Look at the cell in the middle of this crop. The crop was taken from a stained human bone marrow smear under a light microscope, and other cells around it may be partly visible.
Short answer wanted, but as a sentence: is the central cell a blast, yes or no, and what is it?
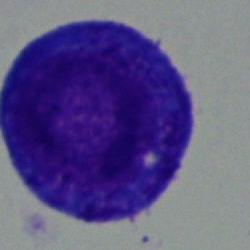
No, the central cell does not represent a blast, but a promyelocyte.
